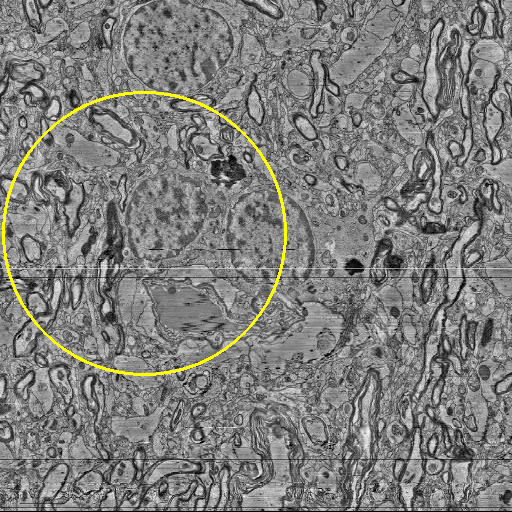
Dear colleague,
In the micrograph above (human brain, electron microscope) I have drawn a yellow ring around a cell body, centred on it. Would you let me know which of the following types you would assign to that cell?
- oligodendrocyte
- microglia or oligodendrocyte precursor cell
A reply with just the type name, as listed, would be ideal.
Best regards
oligodendrocyte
